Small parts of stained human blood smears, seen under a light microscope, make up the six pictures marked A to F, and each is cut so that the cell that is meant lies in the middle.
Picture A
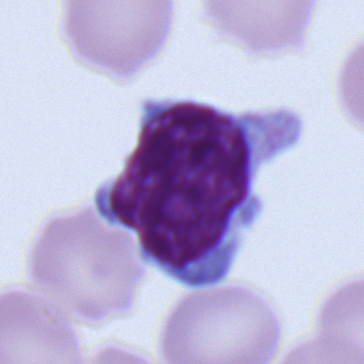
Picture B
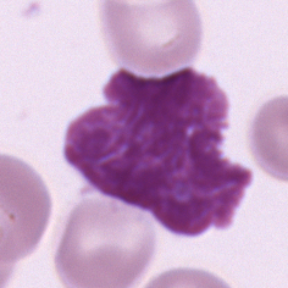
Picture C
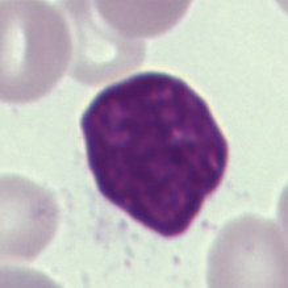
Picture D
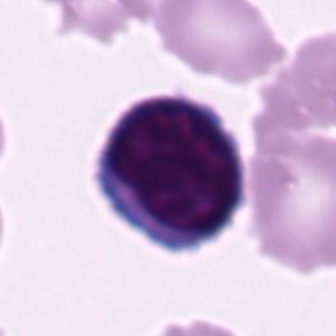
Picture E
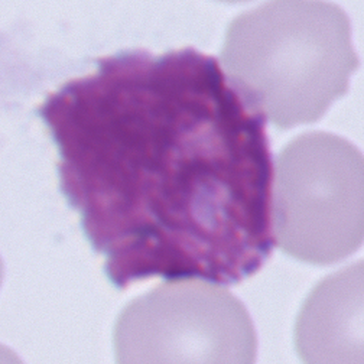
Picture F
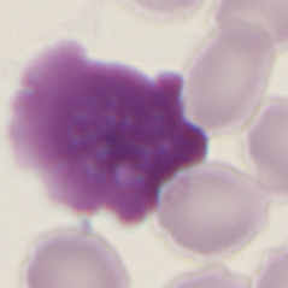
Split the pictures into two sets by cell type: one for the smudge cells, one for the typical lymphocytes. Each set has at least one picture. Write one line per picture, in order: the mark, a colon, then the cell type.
A: typical lymphocyte
B: smudge cell
C: smudge cell
D: typical lymphocyte
E: smudge cell
F: smudge cell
